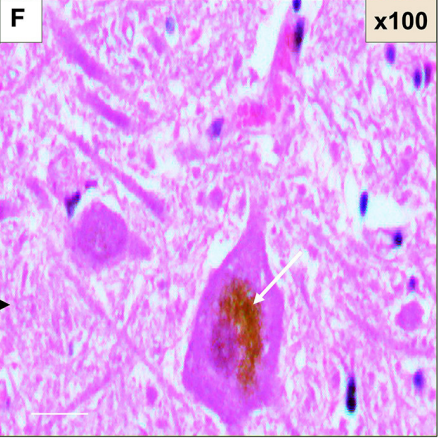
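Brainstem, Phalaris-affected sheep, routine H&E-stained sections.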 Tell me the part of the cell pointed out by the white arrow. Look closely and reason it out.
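Perinuclear cap of pigment. A large angular cell body contains a granular golden-brown deposit. The brown deposit sits clustered in the centre of the cell body around the nuclear region.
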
